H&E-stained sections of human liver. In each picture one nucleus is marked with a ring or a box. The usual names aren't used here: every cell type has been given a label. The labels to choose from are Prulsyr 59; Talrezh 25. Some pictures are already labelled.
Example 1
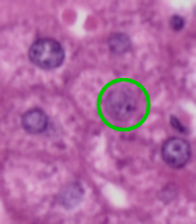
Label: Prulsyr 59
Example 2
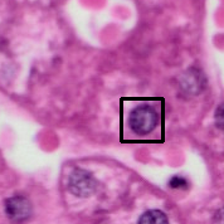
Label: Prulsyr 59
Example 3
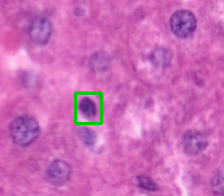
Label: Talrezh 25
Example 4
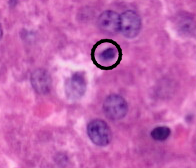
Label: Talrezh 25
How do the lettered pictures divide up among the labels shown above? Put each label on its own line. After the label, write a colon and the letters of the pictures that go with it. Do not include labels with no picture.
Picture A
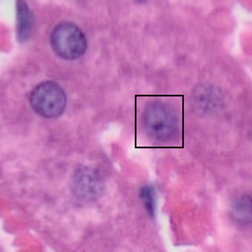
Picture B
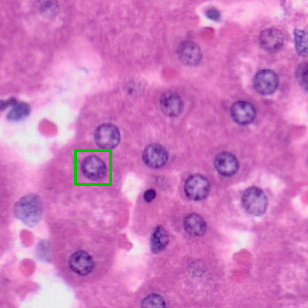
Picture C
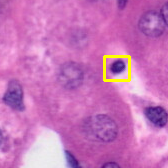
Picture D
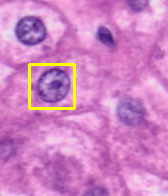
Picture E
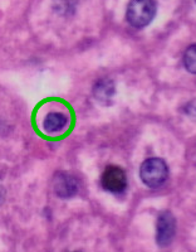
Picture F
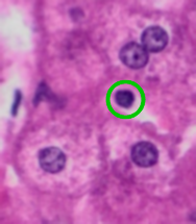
Prulsyr 59: A, B, D
Talrezh 25: C, E, F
